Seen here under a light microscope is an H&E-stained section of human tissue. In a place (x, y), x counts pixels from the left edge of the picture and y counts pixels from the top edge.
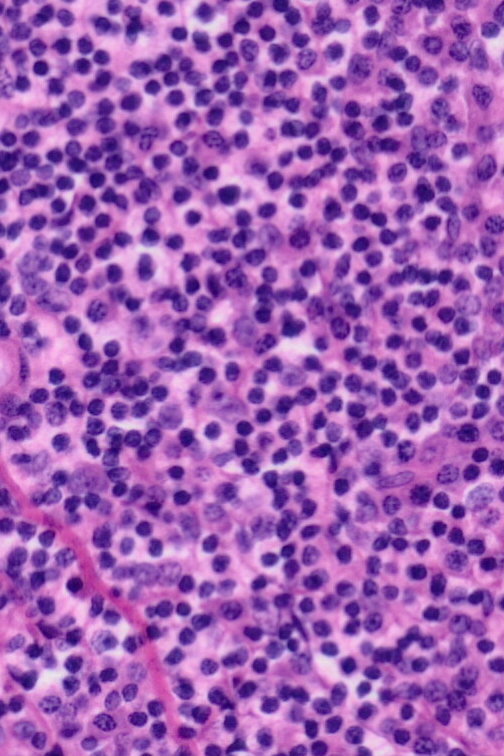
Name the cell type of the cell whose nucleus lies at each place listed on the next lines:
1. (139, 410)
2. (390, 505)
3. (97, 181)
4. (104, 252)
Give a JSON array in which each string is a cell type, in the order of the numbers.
["small lymphocyte", "plasma cell", "small lymphocyte", "small lymphocyte"]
